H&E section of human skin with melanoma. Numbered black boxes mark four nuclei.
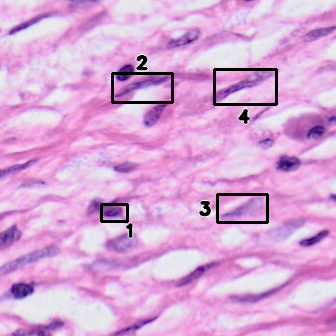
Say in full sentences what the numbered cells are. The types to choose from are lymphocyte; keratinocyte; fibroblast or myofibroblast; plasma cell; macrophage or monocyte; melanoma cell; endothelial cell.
Cell 1 is a macrophage or monocyte, cell 2 is a fibroblast or myofibroblast, cell 3 is a fibroblast or myofibroblast and cell 4 is a fibroblast or myofibroblast.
